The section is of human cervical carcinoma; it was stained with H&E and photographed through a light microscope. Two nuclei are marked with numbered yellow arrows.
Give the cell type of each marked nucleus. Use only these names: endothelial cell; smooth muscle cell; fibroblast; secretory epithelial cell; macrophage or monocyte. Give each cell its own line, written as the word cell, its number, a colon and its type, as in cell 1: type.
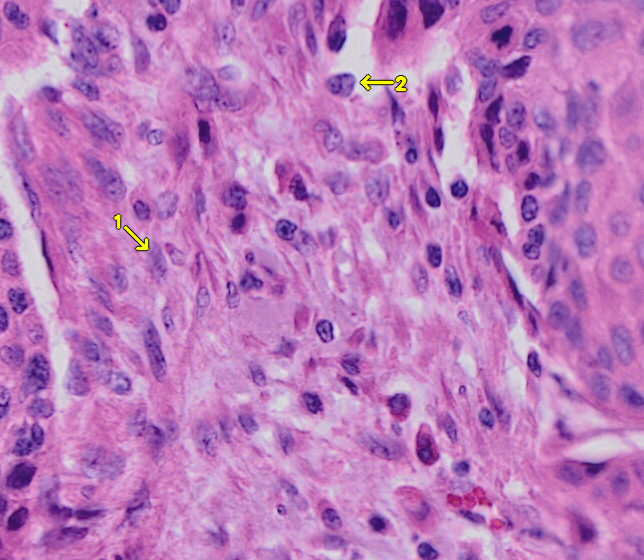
cell 1: fibroblast
cell 2: macrophage or monocyte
